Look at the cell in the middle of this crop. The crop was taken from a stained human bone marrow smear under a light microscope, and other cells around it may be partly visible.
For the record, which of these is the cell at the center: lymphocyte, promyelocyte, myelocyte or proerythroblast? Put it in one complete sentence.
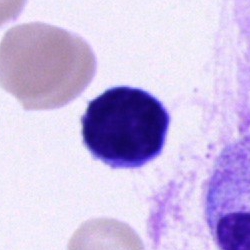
The cell shown in the center of this light-microscope crop is a lymphocyte.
